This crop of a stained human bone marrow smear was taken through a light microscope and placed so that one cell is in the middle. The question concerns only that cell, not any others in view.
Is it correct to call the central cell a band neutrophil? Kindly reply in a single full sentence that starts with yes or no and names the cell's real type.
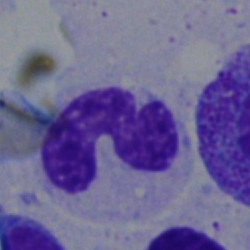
Yes, the crop's central cell is a band neutrophil.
